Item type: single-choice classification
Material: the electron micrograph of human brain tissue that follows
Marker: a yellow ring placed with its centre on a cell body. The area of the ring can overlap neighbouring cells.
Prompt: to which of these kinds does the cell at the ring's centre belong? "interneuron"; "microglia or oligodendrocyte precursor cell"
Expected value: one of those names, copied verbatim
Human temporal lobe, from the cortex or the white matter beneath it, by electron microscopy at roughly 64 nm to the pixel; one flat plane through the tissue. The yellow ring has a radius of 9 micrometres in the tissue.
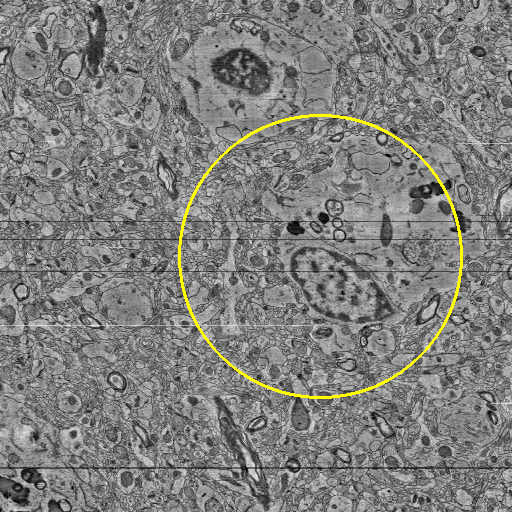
microglia or oligodendrocyte precursor cell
